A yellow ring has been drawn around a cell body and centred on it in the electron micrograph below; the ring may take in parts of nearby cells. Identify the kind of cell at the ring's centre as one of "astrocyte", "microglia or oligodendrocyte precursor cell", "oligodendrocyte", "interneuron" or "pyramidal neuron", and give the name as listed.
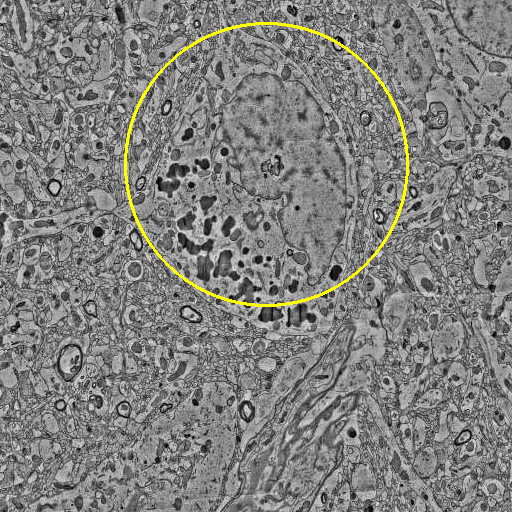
interneuron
